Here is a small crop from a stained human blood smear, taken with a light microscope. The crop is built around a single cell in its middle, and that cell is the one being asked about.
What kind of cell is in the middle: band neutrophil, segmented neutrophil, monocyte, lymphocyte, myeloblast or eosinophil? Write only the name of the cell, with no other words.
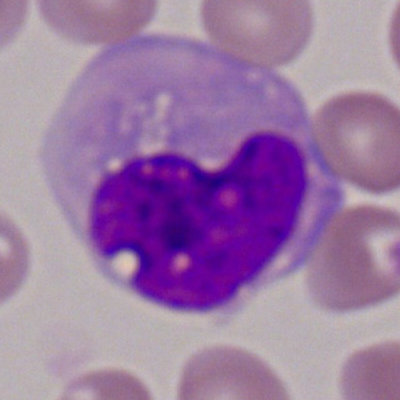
monocyte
